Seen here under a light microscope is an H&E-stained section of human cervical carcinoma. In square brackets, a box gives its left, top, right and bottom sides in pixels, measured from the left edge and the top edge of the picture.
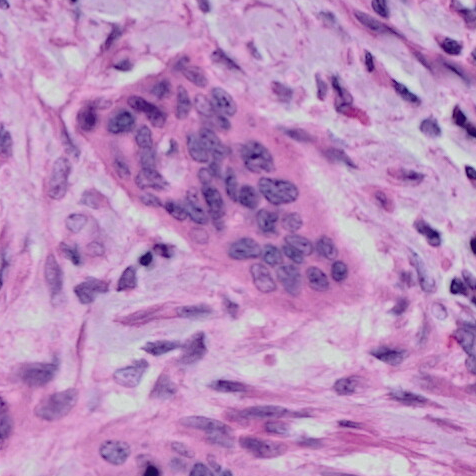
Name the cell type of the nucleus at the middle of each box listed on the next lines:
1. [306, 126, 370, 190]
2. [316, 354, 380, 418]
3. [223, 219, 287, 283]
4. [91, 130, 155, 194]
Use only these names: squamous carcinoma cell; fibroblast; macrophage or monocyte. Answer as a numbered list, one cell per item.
1. fibroblast
2. macrophage or monocyte
3. squamous carcinoma cell
4. squamous carcinoma cell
